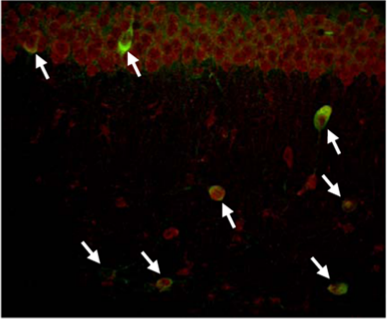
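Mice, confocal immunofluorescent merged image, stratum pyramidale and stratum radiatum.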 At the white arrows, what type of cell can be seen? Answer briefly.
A: Interneurons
